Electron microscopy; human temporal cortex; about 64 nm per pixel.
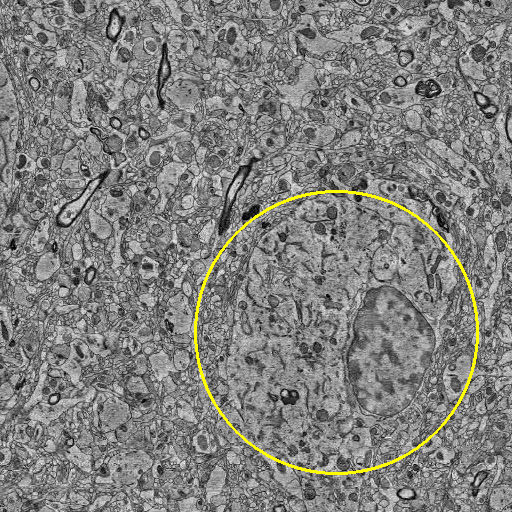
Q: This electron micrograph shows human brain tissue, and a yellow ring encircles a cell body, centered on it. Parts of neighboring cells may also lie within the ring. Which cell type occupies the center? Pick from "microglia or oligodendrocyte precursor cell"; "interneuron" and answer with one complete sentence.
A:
What sits at the ring's center in this micrograph is a microglial cell or oligodendrocyte precursor cell, among those choices.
